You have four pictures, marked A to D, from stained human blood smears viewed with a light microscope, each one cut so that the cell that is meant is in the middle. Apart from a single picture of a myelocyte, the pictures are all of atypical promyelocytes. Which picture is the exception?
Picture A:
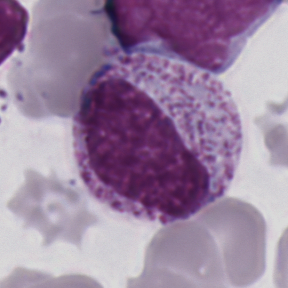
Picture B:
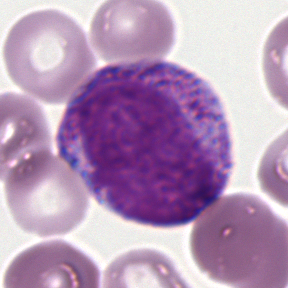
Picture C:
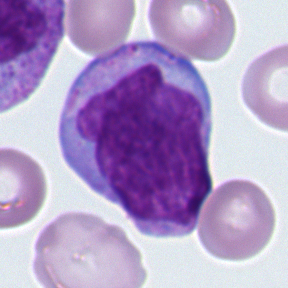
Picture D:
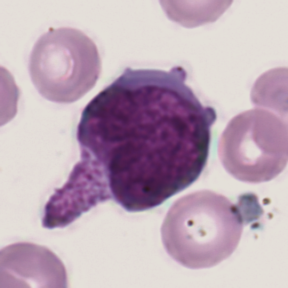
A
